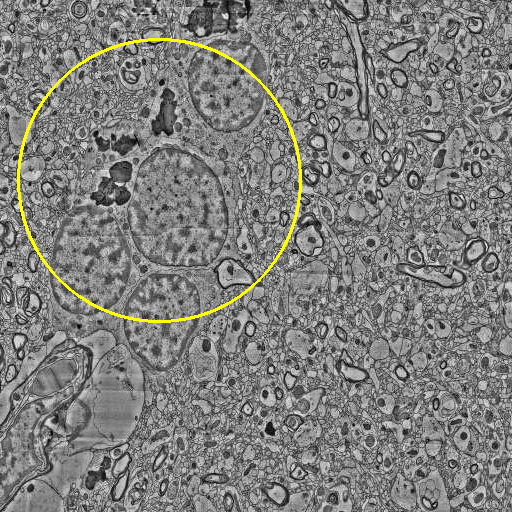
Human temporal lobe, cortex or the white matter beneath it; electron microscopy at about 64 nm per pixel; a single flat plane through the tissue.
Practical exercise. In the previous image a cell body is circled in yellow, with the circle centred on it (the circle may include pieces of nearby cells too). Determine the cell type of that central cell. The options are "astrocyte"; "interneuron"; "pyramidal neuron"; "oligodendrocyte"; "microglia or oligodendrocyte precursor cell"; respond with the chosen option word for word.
oligodendrocyte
